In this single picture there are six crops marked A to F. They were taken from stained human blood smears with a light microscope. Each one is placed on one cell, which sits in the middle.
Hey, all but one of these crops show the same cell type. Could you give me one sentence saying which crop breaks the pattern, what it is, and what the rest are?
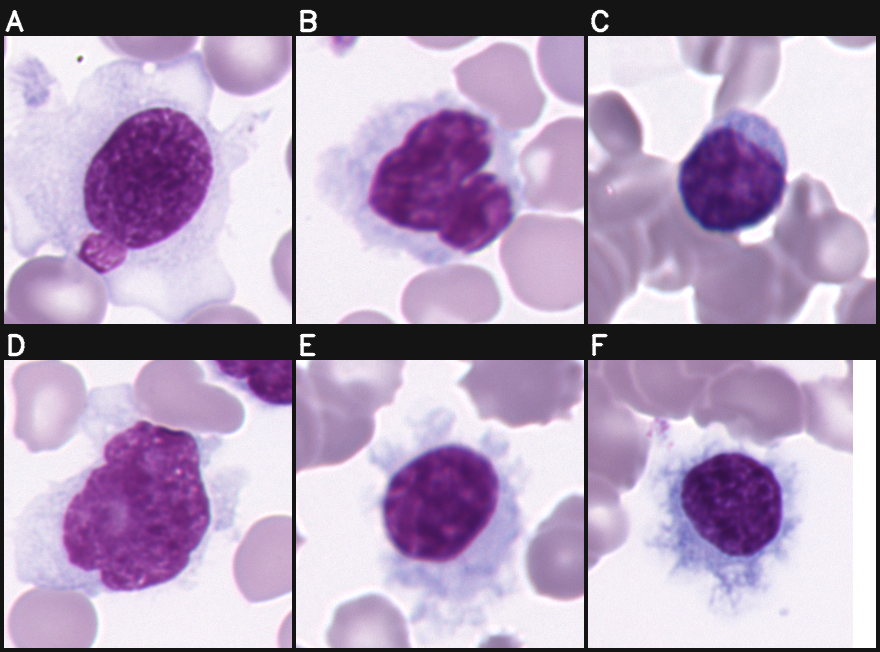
Apart from crop C, a typical lymphocyte, the crops all show hairy cells.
